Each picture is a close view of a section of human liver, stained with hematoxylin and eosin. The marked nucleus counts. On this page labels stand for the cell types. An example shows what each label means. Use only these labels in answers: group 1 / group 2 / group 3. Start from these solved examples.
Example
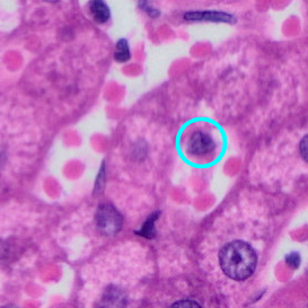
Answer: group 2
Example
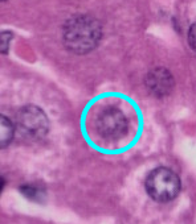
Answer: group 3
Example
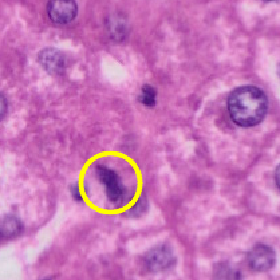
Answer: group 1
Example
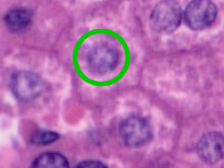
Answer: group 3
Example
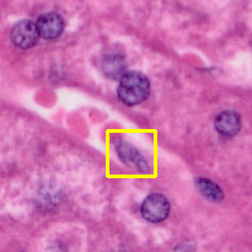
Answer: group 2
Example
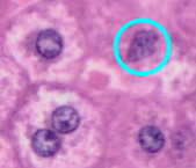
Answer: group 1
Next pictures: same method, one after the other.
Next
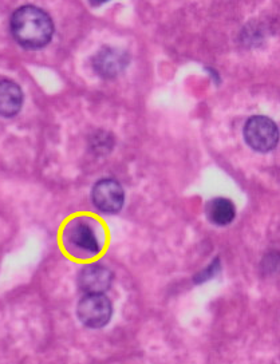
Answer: group 1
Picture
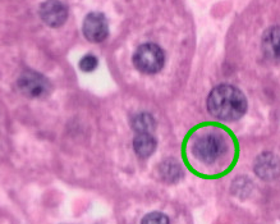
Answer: group 1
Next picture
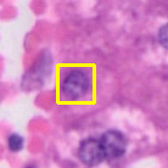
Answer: group 3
